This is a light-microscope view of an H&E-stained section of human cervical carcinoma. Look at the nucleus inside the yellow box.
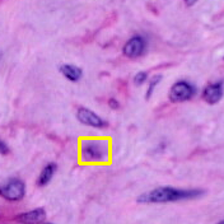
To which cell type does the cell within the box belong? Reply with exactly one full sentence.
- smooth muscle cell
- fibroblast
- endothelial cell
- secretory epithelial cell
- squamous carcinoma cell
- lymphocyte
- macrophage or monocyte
As classified here, the cell within the box is a smooth muscle cell.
